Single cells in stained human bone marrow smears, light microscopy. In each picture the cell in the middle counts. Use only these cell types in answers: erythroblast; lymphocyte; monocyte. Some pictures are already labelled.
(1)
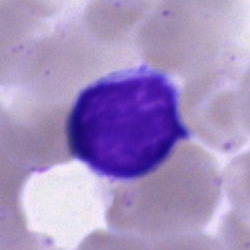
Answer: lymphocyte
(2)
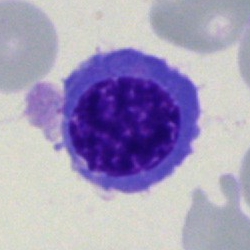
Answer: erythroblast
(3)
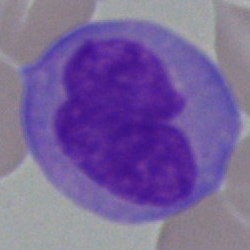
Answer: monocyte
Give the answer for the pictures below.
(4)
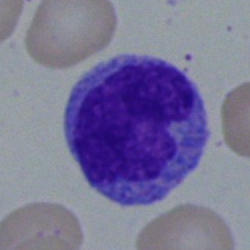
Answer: monocyte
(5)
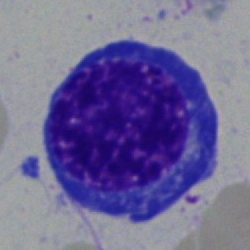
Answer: erythroblast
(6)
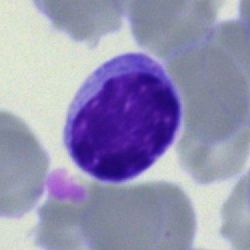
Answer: lymphocyte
